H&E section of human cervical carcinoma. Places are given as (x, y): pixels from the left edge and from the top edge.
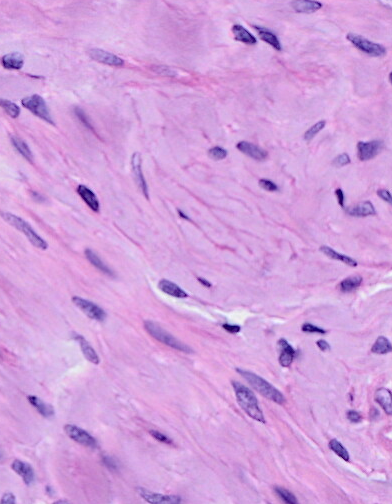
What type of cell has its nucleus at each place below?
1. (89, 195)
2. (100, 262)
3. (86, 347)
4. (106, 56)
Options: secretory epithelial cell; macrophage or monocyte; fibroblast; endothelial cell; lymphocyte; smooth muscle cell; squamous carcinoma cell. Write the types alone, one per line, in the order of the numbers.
lymphocyte
fibroblast
fibroblast
smooth muscle cell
